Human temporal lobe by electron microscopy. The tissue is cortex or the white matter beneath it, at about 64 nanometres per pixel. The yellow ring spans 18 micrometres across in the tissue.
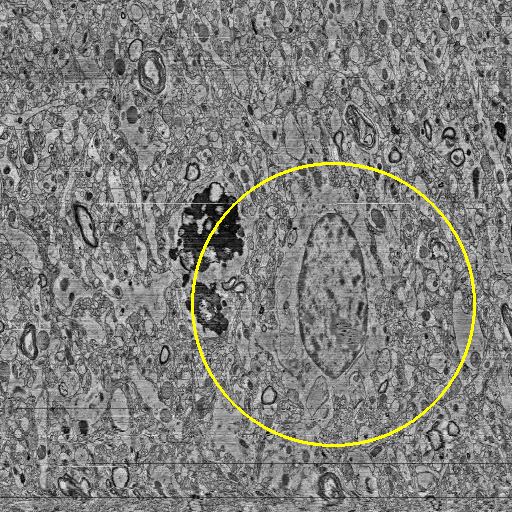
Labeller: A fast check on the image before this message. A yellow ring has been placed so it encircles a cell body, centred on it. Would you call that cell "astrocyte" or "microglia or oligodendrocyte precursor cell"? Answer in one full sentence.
In this image, an astrocyte is the cell on which the yellow ring is centred.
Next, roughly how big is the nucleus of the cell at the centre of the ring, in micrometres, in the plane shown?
In this plane, about 11 by 4 micrometres: the nucleus is clearly longer than it is wide.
